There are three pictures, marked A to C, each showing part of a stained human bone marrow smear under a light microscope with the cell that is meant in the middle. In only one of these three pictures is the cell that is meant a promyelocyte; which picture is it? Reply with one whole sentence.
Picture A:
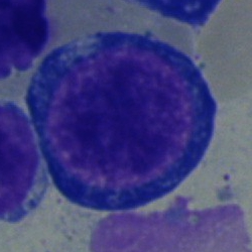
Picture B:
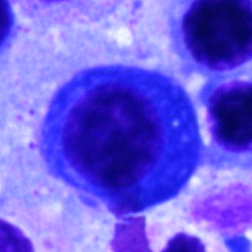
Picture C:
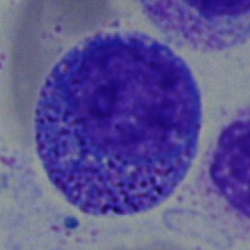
The cell in picture C is the promyelocyte.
